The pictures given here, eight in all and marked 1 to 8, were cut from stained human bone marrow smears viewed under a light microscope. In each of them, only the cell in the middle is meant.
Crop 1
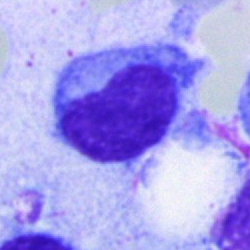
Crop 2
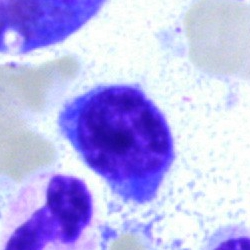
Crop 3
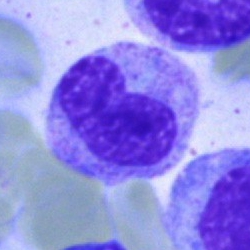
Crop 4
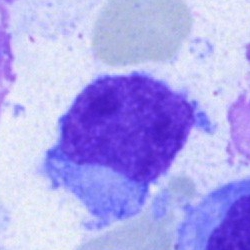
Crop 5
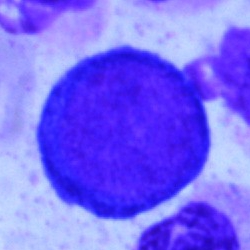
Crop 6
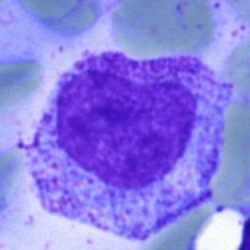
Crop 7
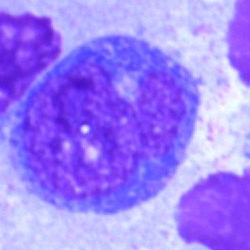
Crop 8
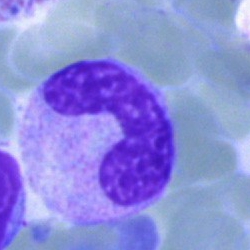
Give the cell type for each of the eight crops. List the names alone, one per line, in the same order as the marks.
hairy cell
lymphocyte
metamyelocyte
hairy cell
proerythroblast
myelocyte
monocyte
band neutrophil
